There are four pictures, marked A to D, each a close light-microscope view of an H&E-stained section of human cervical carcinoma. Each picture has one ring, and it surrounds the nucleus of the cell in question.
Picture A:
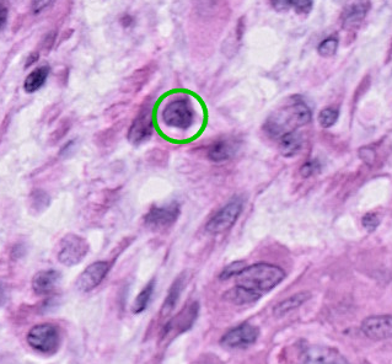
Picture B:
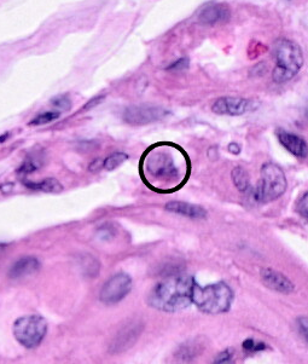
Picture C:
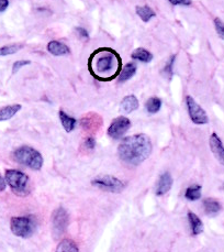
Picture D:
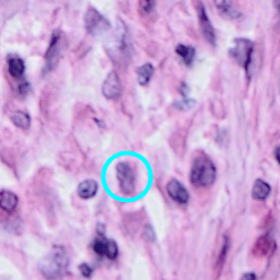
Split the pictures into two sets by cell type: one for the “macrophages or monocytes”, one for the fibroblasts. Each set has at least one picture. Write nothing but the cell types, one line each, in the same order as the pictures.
macrophage or monocyte
macrophage or monocyte
fibroblast
macrophage or monocyte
